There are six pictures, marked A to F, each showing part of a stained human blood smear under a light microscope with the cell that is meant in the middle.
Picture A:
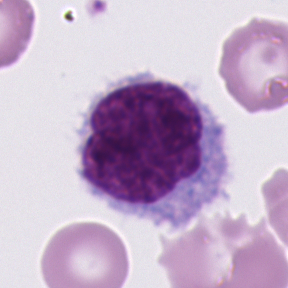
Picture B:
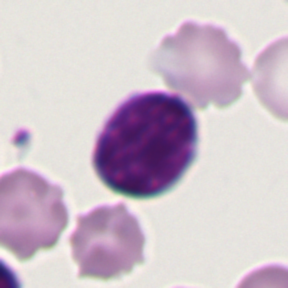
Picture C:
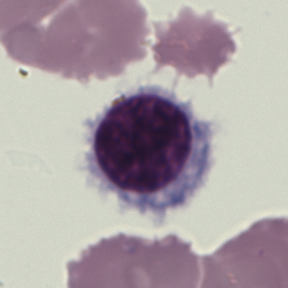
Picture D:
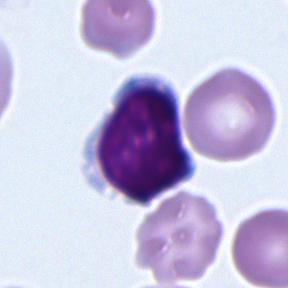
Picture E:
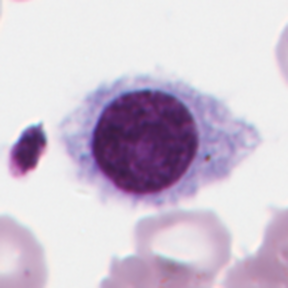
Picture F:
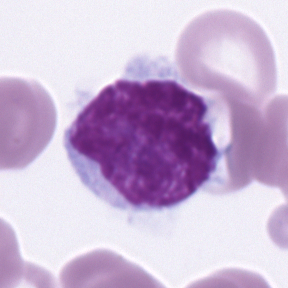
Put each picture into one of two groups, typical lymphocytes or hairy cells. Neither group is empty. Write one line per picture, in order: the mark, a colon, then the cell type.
A: hairy cell
B: typical lymphocyte
C: hairy cell
D: typical lymphocyte
E: hairy cell
F: hairy cell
